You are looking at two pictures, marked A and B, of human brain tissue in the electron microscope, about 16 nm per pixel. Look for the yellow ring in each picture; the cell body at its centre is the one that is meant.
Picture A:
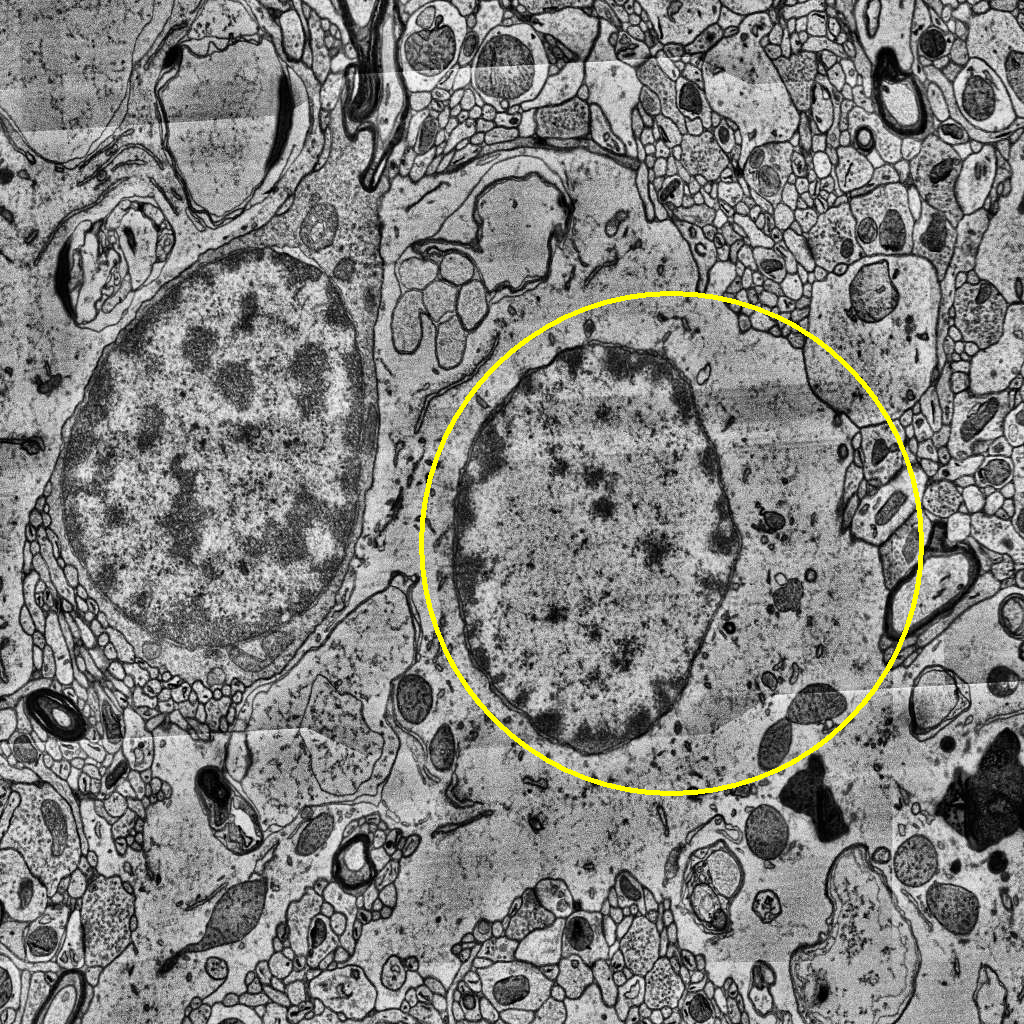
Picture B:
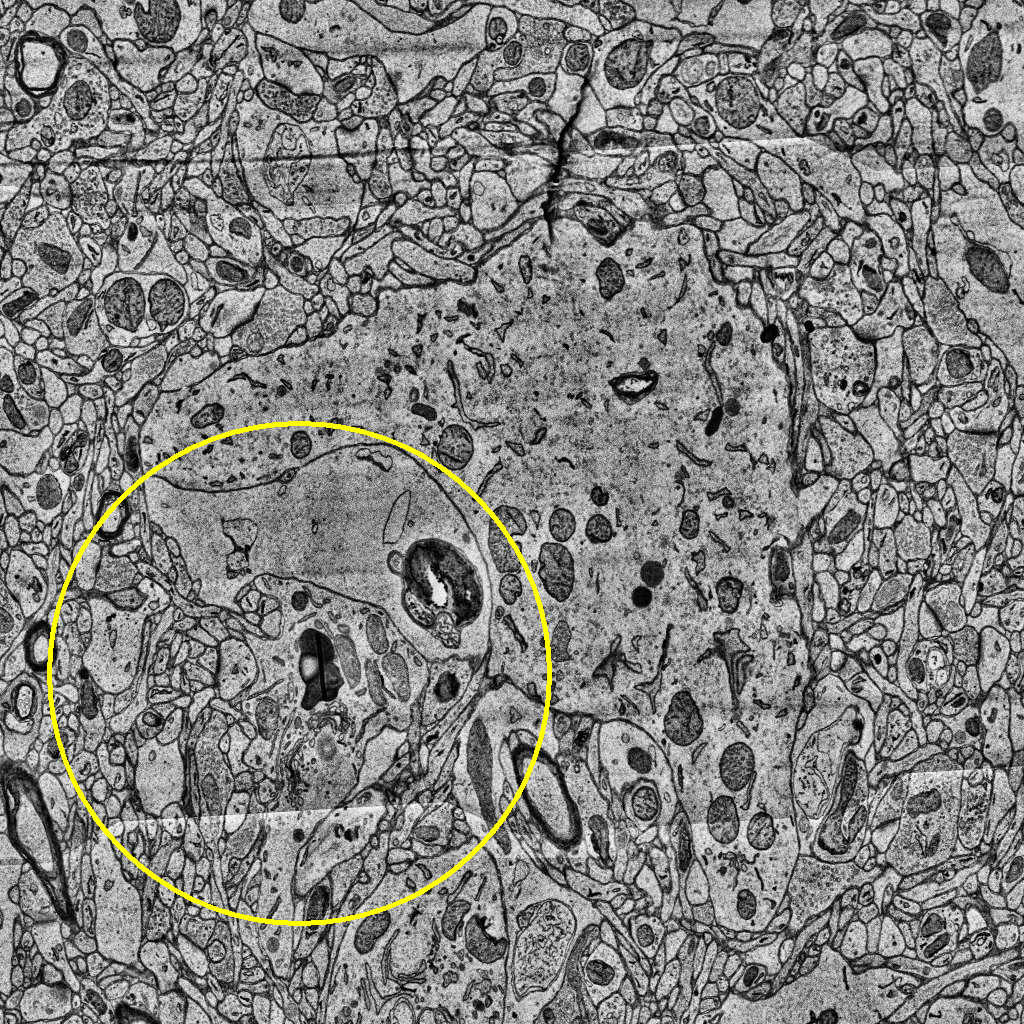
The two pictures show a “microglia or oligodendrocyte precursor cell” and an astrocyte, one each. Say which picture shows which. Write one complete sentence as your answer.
The cell in picture A is an astrocyte, and the one in picture B is a “microglia or oligodendrocyte precursor cell”.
